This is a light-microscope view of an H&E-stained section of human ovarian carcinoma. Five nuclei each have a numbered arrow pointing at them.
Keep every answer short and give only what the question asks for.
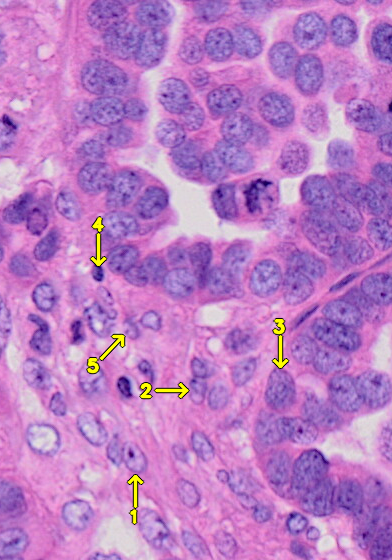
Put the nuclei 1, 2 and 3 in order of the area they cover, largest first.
3, 1, 2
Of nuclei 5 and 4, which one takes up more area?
5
